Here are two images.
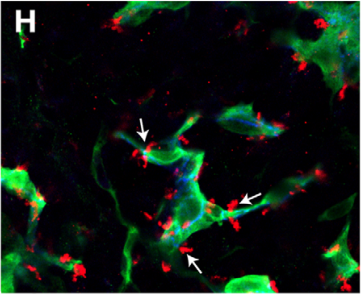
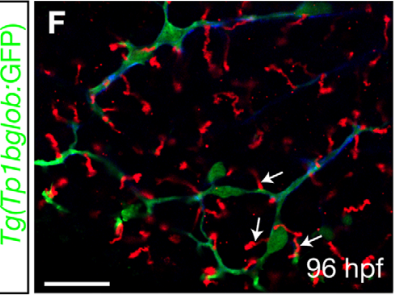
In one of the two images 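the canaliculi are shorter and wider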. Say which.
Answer: the first image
